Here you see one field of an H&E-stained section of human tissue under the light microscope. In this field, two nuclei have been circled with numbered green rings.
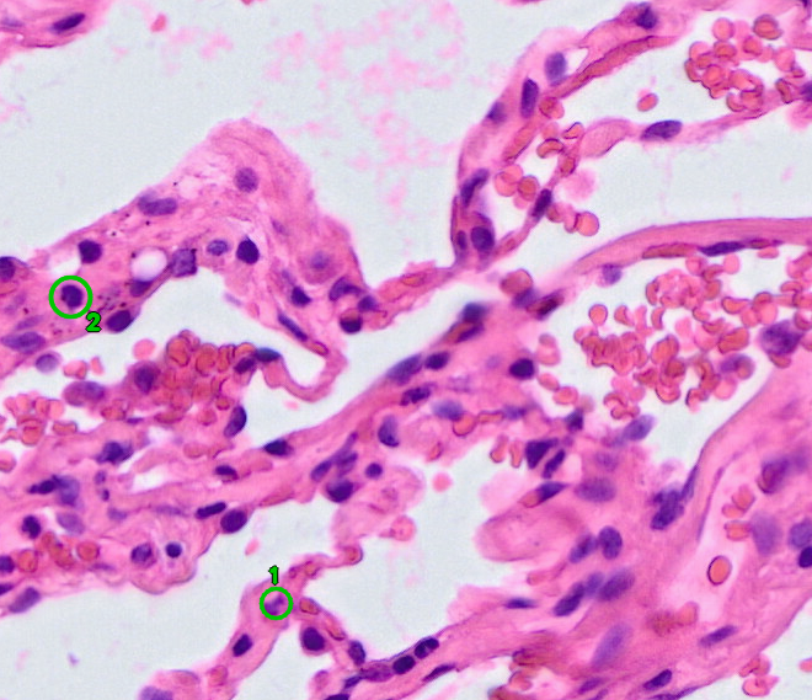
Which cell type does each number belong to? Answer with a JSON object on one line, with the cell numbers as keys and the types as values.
{"1": "endothelial cell", "2": "lymphocyte"}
